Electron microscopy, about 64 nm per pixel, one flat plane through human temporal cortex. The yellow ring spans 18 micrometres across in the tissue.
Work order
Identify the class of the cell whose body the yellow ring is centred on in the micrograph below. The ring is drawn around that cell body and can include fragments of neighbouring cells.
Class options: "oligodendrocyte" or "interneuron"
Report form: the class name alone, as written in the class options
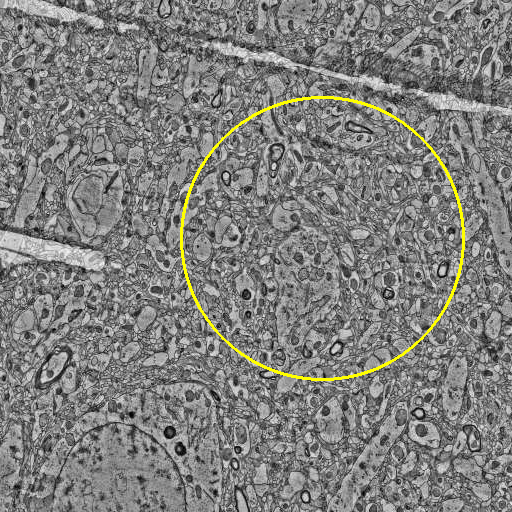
interneuron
